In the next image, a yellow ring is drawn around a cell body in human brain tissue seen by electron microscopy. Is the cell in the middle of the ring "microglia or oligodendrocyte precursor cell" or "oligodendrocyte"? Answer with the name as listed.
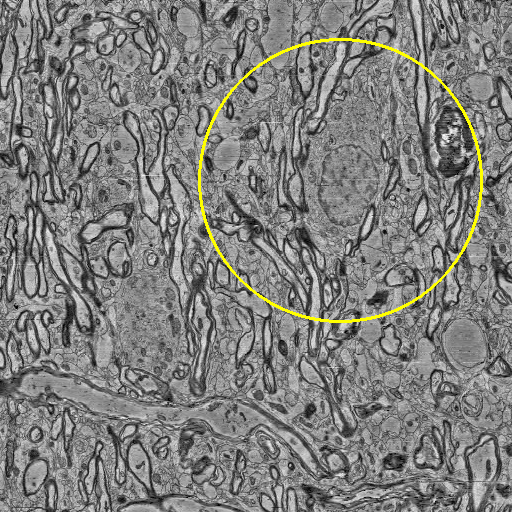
oligodendrocyte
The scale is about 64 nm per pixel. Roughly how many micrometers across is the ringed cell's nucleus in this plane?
The nucleus of the ringed cell is approximately 5 by 4 micrometres in this plane.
